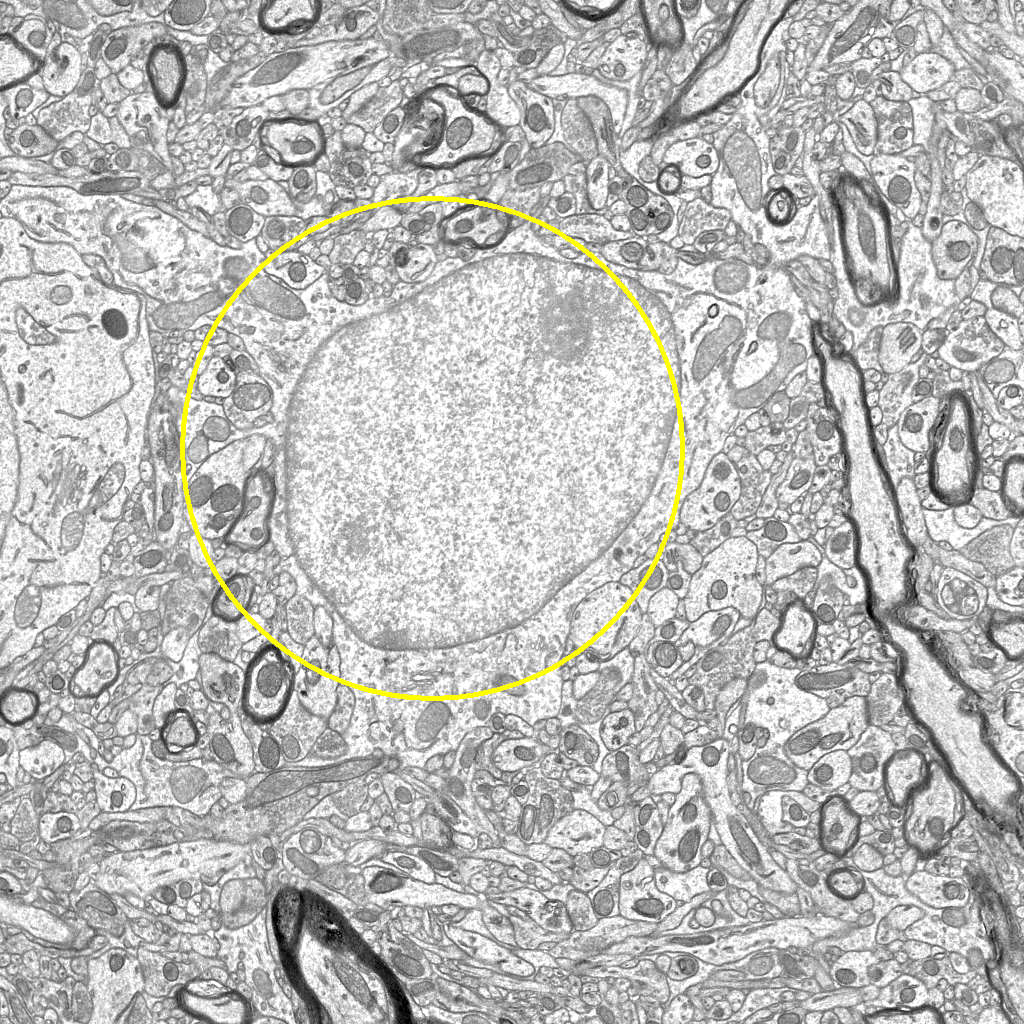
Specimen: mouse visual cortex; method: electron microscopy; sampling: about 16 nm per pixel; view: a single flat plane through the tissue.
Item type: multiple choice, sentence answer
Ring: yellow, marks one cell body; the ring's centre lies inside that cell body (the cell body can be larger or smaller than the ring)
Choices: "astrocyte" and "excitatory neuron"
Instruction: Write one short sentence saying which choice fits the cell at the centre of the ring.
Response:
The centre of this ring lies on an astrocyte.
